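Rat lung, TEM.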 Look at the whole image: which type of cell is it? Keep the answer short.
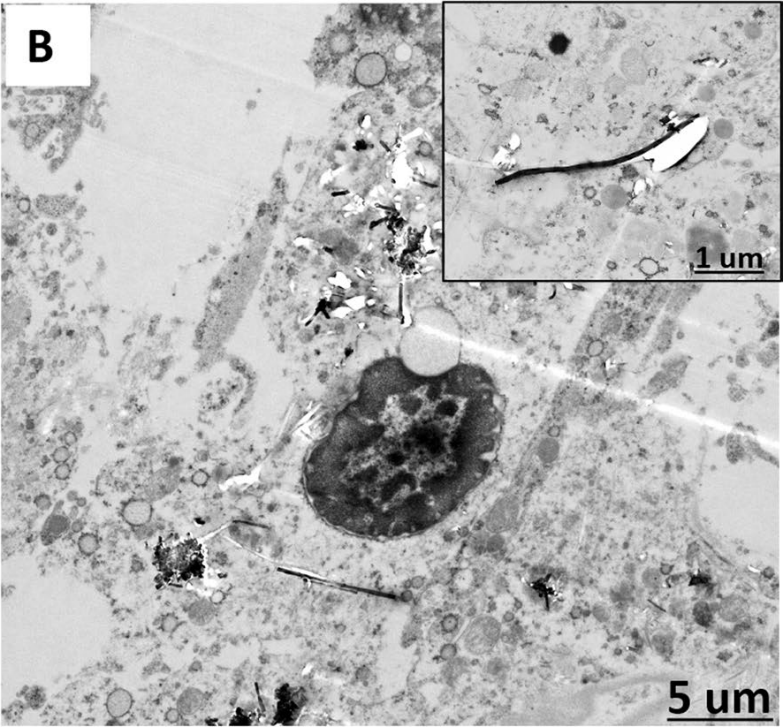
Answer: Alveolar macrophage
